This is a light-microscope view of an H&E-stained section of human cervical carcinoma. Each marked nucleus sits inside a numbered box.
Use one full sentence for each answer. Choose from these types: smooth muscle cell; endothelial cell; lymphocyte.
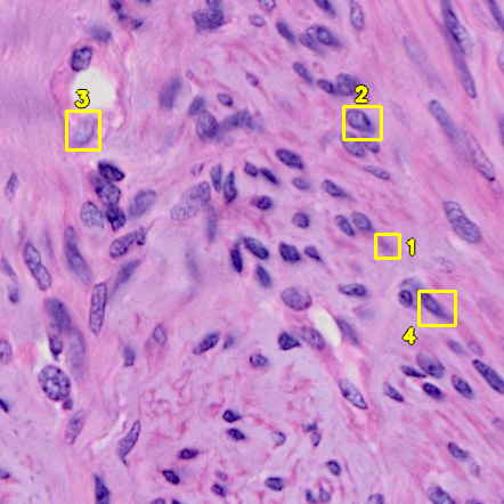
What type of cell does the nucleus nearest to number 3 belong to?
The cell nearest to number 3 is a lymphocyte.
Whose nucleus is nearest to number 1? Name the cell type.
The cell nearest to number 1 is a smooth muscle cell.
